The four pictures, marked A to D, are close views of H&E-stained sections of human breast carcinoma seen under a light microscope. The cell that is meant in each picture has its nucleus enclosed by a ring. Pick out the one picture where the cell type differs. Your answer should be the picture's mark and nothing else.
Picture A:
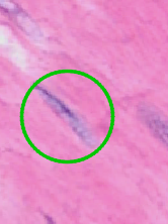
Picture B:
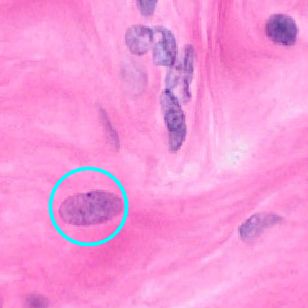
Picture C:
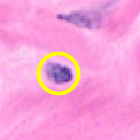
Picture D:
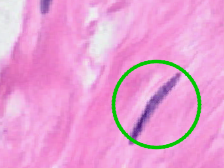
C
